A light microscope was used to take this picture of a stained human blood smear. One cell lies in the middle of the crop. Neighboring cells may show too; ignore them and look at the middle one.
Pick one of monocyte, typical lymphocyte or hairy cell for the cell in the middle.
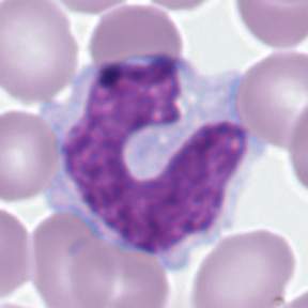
monocyte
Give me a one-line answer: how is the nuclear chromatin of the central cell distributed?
You can see that its chromatin is coarsely clumped.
